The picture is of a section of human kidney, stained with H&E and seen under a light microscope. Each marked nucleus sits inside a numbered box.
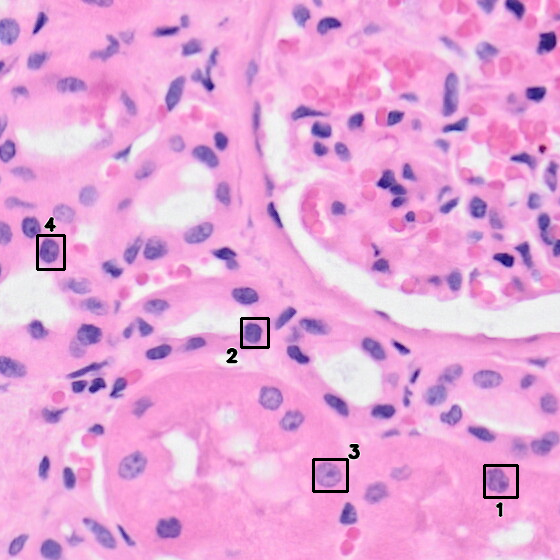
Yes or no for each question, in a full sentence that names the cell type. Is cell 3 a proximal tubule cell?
Yes, a proximal tubule cell is what the cell numbered 3 is.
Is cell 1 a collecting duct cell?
No, the cell that carries number 1 is a proximal tubule cell, not a collecting duct cell.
